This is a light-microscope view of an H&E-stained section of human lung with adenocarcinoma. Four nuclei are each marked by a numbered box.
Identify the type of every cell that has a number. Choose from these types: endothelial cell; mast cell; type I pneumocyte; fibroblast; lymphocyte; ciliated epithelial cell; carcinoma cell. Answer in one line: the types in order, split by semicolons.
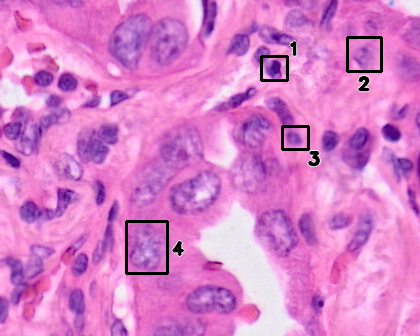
lymphocyte; fibroblast; lymphocyte; carcinoma cell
